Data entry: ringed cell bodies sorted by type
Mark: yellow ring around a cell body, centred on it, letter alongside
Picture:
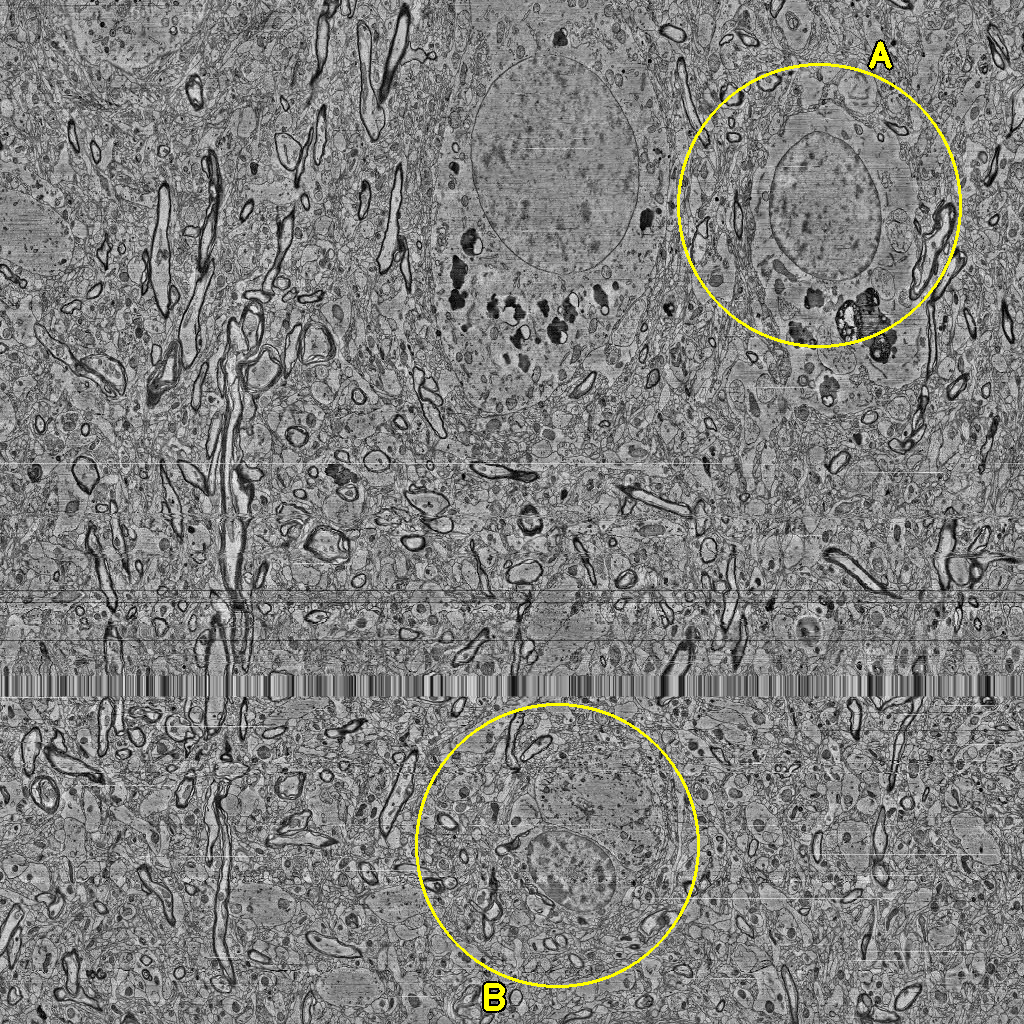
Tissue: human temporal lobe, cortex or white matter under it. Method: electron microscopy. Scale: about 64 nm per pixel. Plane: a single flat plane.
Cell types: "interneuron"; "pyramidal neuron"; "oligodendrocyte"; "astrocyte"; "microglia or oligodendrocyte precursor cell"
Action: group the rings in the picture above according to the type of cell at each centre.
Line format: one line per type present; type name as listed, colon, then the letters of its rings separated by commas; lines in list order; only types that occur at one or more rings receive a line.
oligodendrocyte: B
astrocyte: A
